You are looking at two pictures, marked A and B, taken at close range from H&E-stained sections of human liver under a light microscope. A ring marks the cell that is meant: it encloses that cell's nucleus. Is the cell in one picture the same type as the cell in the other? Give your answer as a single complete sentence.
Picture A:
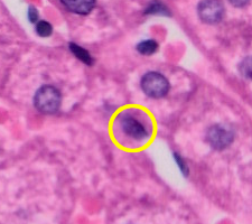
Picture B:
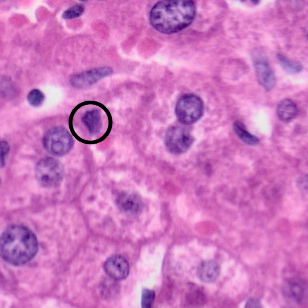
Yes, both are “fibroblasts or stellate cells”.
